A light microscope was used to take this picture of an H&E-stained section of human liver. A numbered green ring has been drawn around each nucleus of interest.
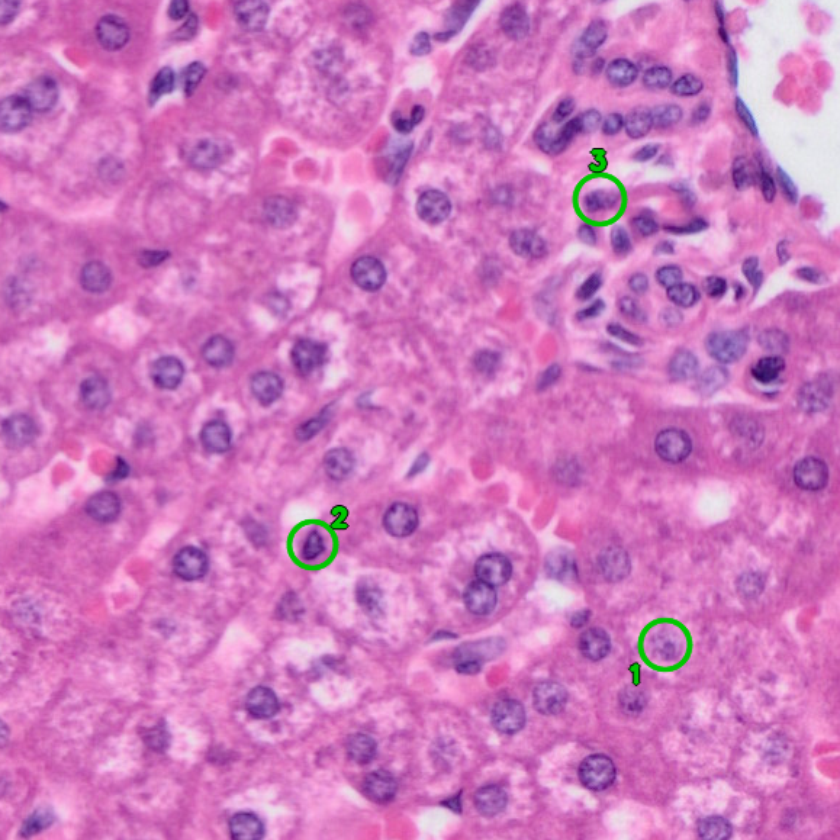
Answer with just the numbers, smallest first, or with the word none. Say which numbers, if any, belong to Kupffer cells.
2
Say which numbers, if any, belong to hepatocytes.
1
